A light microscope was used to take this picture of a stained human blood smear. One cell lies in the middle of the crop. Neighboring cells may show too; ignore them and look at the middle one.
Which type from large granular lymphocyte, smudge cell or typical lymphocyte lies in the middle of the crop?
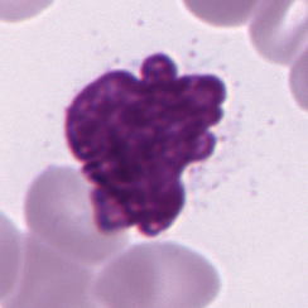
smudge cell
